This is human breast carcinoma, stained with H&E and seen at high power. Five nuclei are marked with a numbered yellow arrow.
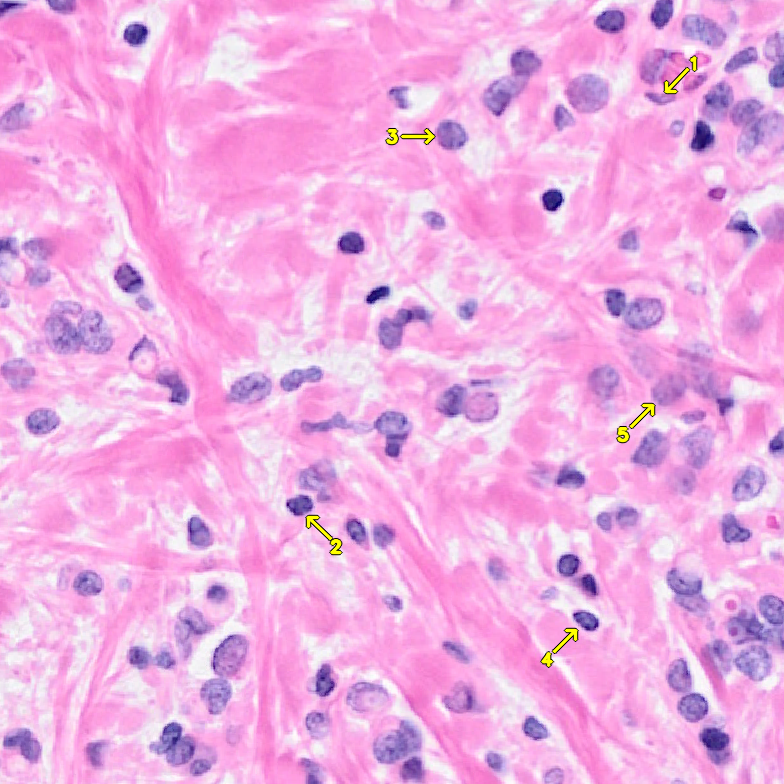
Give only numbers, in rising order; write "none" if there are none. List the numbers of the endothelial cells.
1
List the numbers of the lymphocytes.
2, 4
